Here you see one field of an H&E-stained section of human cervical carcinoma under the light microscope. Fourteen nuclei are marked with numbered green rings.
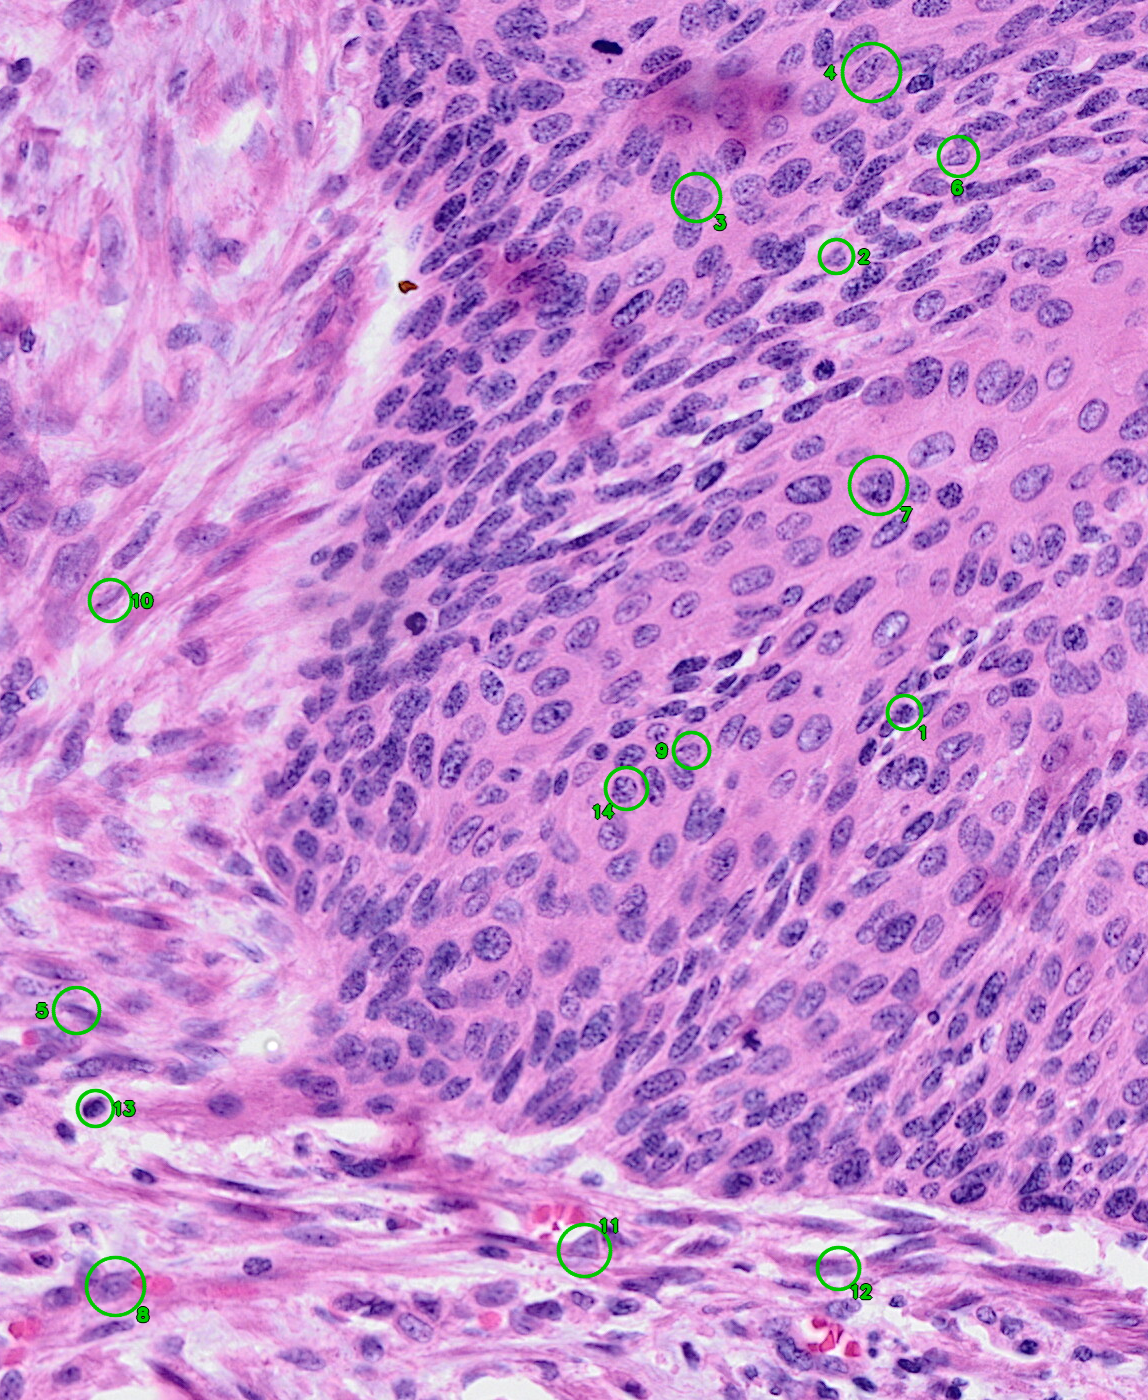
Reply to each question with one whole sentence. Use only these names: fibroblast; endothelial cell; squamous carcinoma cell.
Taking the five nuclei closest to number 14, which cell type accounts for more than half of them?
Squamous carcinoma cells make up most of the five nuclei closest to number 14.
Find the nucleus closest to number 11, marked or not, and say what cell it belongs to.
The nucleus nearest to number 11 is that of a fibroblast.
